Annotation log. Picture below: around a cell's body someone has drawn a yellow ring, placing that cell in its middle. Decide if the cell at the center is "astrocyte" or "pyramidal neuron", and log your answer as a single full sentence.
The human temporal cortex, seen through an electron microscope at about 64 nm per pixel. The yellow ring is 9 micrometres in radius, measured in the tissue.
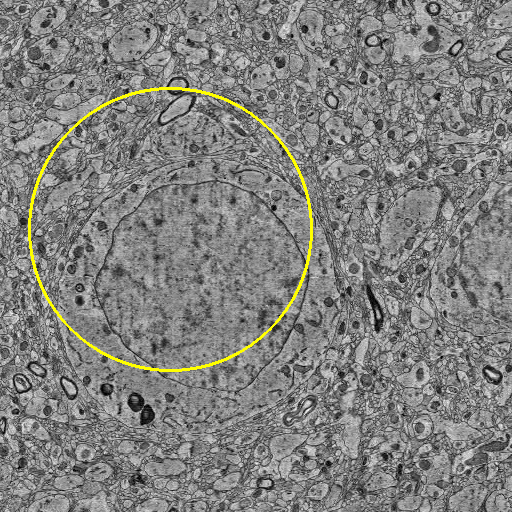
My entry records a pyramidal neuron as the cell sitting at the center of the yellow ring.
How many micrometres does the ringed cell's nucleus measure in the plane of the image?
Roughly 14 micrometers across in this plane.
